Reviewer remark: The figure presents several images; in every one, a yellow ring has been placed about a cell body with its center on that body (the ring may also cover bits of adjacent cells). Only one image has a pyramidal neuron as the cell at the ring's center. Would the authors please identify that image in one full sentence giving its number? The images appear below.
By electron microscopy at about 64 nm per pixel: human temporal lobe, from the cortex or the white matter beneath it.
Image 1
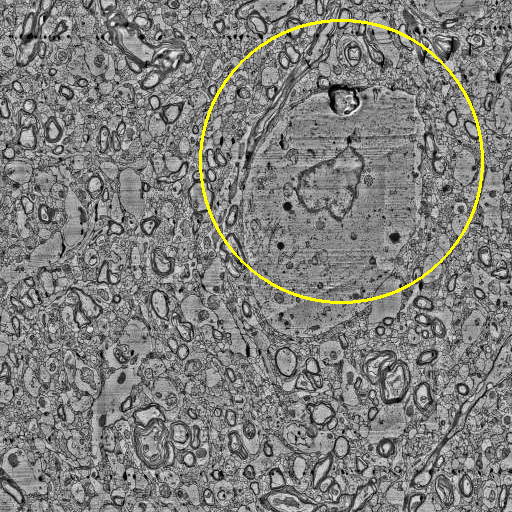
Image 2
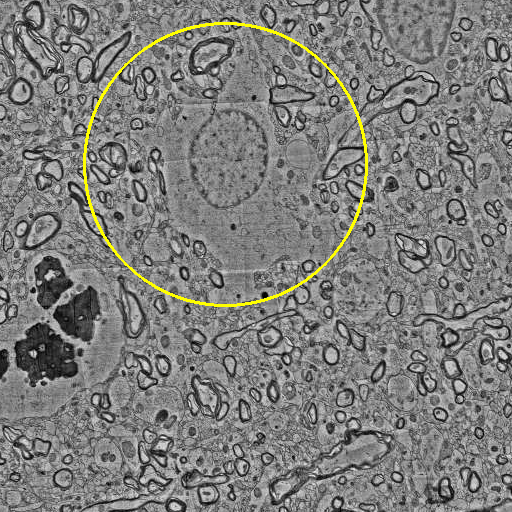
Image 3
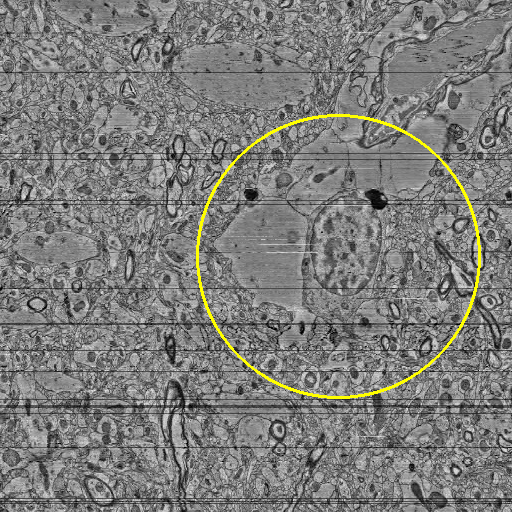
The ring's central cell in image 1 is the one the question describes.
